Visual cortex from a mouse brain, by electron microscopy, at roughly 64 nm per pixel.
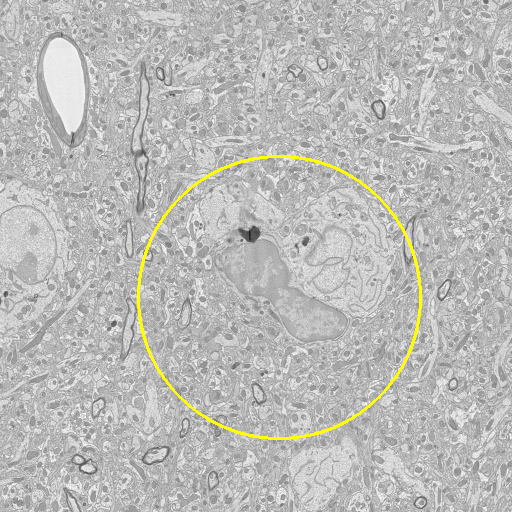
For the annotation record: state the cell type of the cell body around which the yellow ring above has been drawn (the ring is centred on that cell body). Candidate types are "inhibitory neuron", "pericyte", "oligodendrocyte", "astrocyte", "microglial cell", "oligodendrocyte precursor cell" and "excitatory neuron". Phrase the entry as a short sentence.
The ringed cell is a microglial cell.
